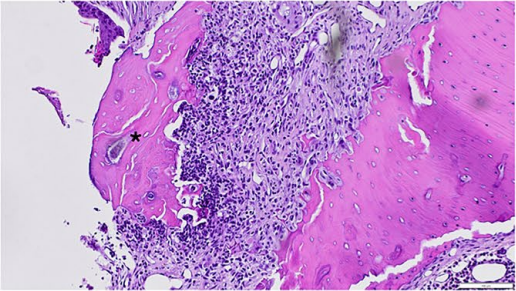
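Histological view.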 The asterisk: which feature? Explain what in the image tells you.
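The asterisk lies on a pink bone fragment at the edge of the tissue. The fragment is separated from the surrounding cellular tissue by a dense band of inflammatory cells. The answer: Bone sequestrations.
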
